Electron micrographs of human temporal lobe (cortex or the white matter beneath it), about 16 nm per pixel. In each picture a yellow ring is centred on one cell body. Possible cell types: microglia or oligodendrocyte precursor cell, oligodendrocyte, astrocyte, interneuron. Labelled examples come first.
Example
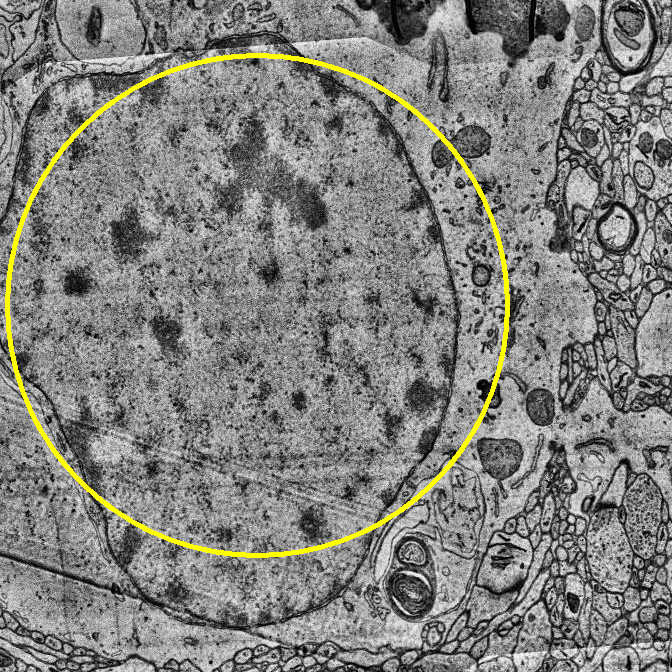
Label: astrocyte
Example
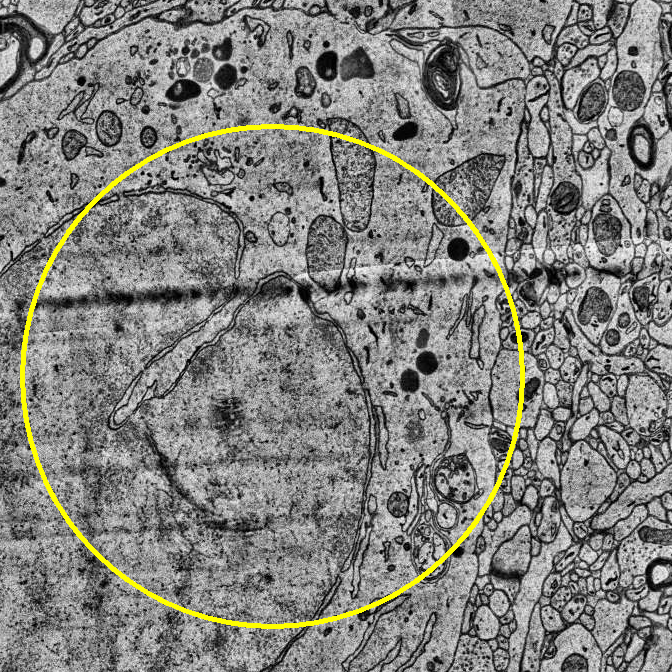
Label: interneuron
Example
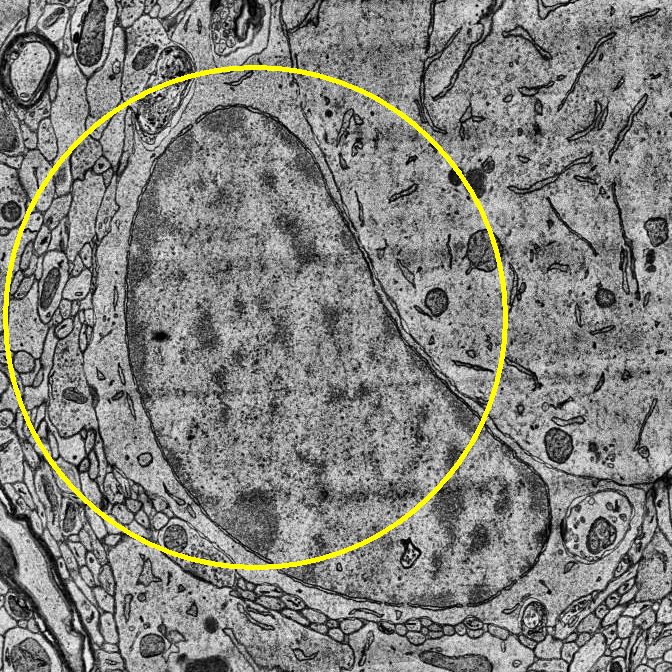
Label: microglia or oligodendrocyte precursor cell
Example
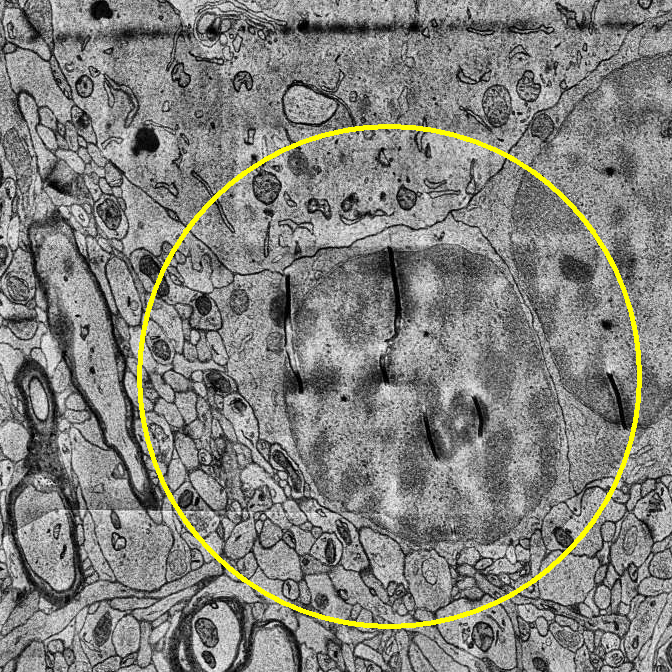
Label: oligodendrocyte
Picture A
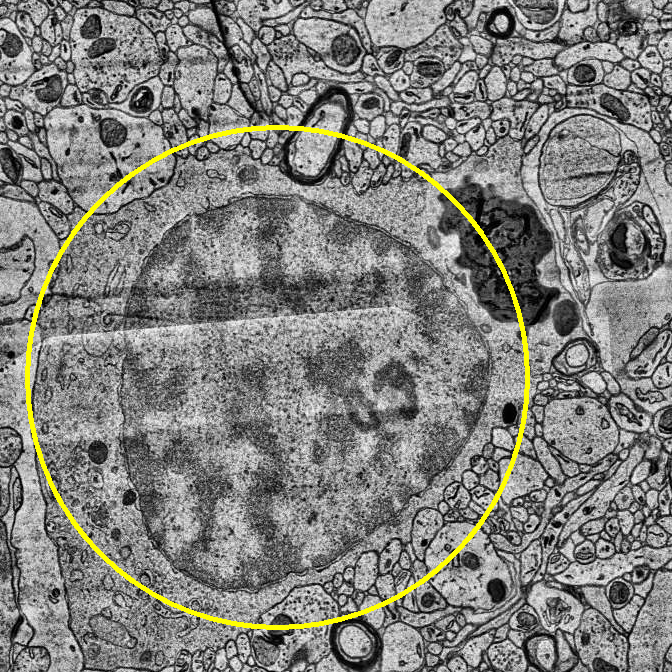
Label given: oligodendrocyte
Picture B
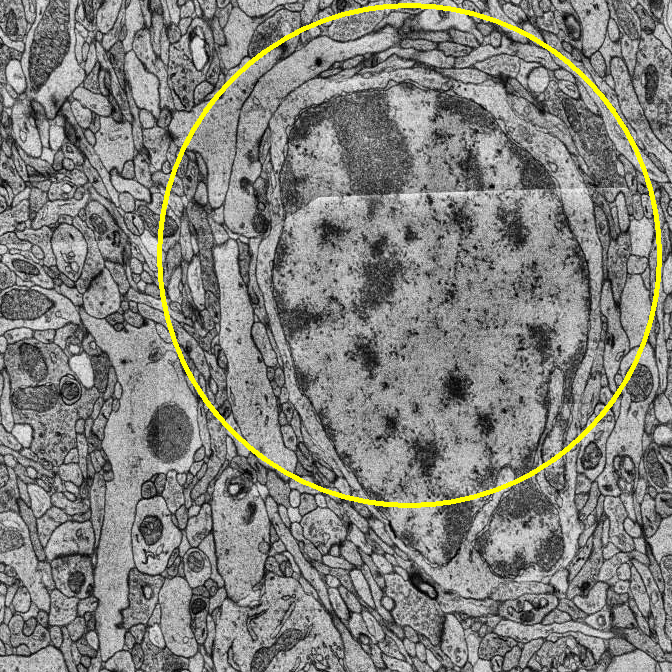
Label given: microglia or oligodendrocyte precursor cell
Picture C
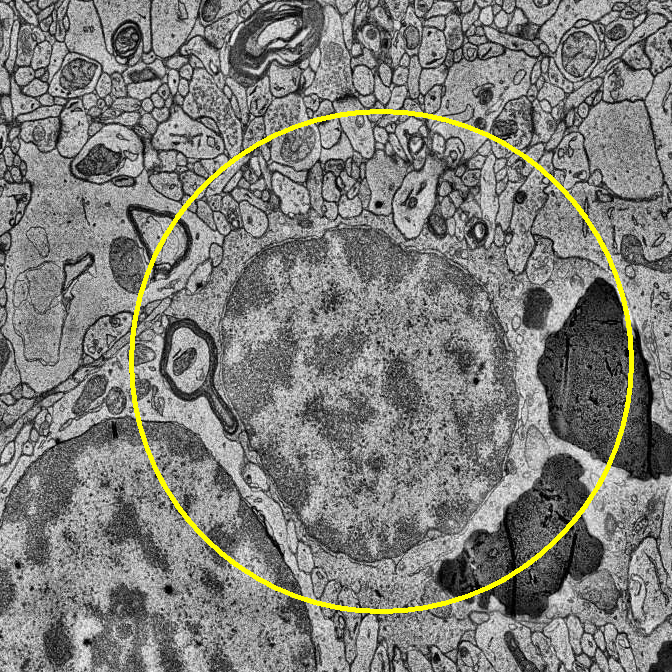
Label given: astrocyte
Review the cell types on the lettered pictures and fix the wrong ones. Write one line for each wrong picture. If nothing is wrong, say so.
C: not astrocyte but oligodendrocyte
